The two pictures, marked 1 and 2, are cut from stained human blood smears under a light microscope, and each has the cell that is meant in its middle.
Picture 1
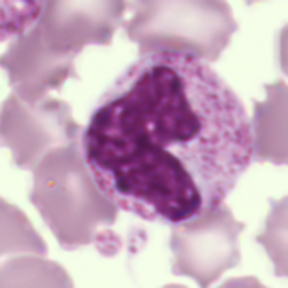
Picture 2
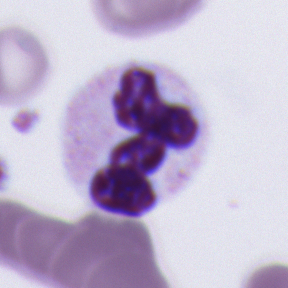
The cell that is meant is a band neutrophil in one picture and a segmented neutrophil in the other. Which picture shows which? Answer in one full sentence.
It is picture 1 that shows a band neutrophil, and picture 2 that shows a segmented neutrophil.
